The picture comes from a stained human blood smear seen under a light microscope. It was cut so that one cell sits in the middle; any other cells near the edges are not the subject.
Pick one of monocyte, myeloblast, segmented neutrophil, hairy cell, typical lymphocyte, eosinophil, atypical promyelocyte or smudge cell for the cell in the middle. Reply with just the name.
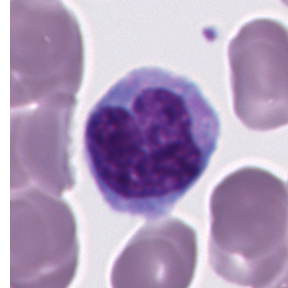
monocyte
